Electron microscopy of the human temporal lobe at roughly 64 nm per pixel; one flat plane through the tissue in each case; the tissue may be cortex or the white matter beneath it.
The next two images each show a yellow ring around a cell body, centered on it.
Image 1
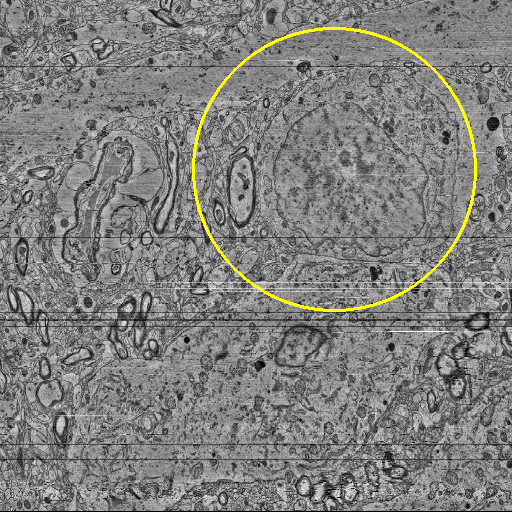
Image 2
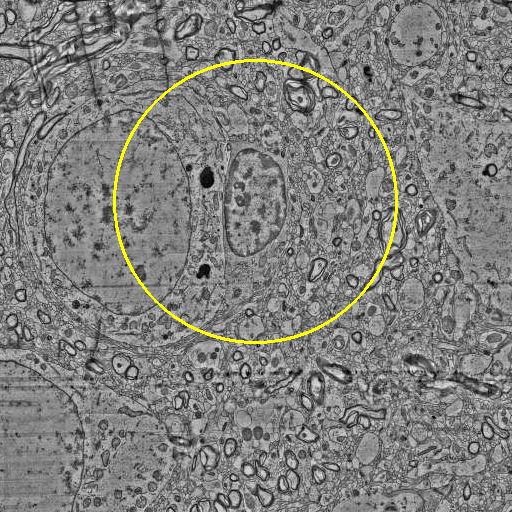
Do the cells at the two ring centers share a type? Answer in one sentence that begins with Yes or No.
No, across the two images the cells at the ring centers are of two types.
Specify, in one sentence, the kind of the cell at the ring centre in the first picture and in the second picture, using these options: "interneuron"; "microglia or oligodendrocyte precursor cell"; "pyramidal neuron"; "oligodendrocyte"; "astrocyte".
So the first is an interneuron, the second an oligodendrocyte.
